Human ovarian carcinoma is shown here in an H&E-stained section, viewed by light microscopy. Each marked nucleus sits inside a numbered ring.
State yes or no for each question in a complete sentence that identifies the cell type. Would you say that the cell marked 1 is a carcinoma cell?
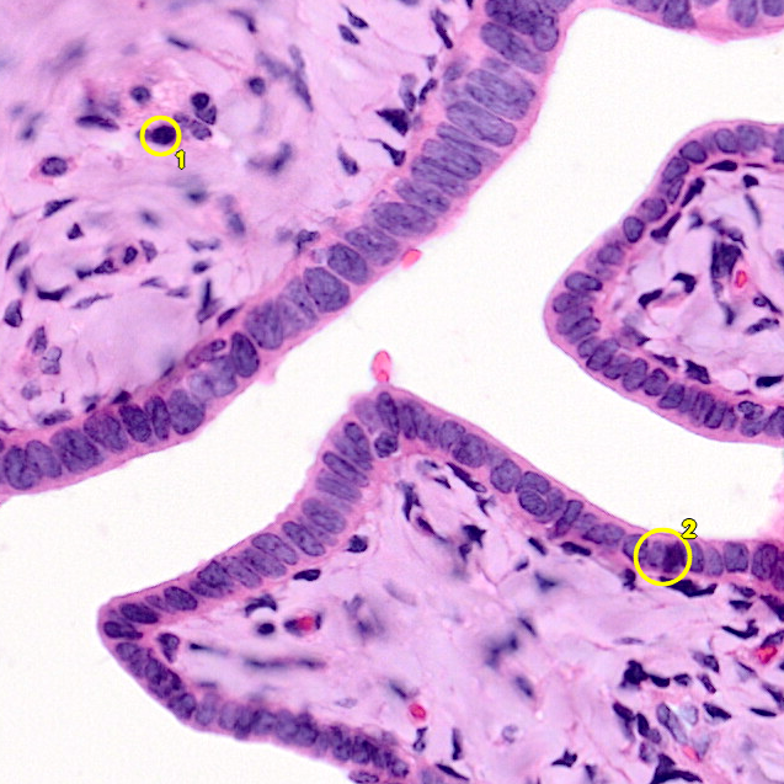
No, the one with number 1 is a lymphocyte, not a carcinoma cell.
